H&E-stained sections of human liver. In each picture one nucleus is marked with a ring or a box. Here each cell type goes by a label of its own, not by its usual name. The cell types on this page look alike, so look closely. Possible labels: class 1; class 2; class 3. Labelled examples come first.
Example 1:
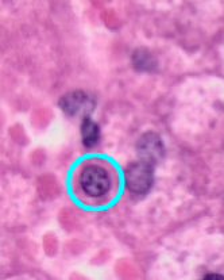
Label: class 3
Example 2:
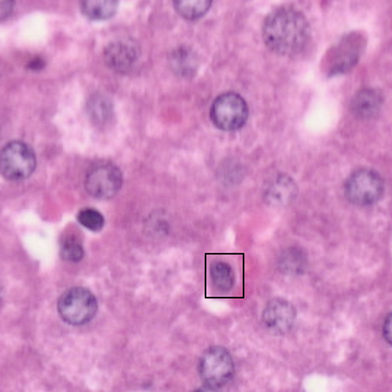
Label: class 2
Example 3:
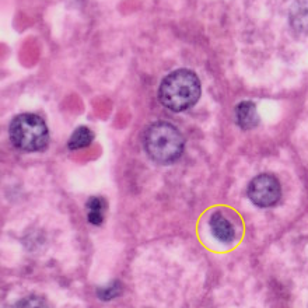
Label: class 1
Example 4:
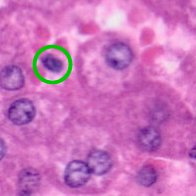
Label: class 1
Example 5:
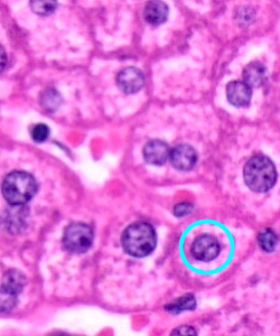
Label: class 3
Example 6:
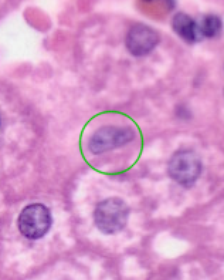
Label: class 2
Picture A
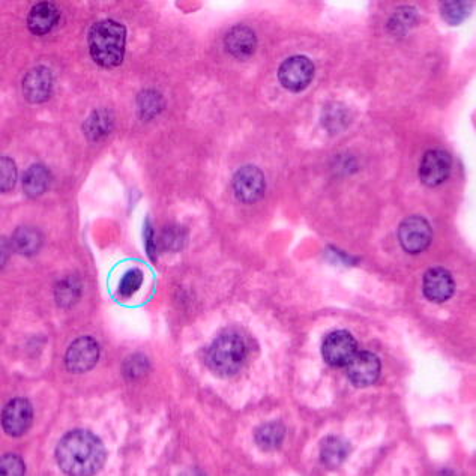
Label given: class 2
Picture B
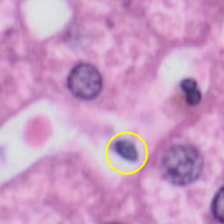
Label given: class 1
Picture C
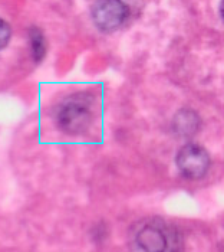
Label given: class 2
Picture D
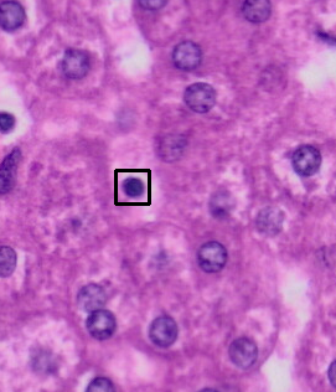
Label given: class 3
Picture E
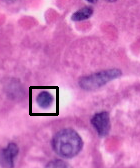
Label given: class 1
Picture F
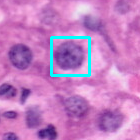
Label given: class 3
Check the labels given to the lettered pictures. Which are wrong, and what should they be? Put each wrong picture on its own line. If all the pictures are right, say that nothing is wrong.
A: change class 2 to class 1
D: change class 3 to class 1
